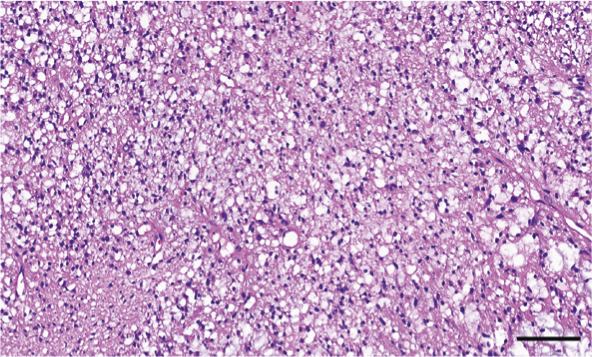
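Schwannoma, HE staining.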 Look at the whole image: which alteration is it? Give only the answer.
microcystic pattern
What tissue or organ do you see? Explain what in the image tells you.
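Cells are loosely scattered without any organized pattern. The stroma is loose and full of clear vacuoles. Nuclei are small, dark and of varied shape. So: Antoni B area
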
